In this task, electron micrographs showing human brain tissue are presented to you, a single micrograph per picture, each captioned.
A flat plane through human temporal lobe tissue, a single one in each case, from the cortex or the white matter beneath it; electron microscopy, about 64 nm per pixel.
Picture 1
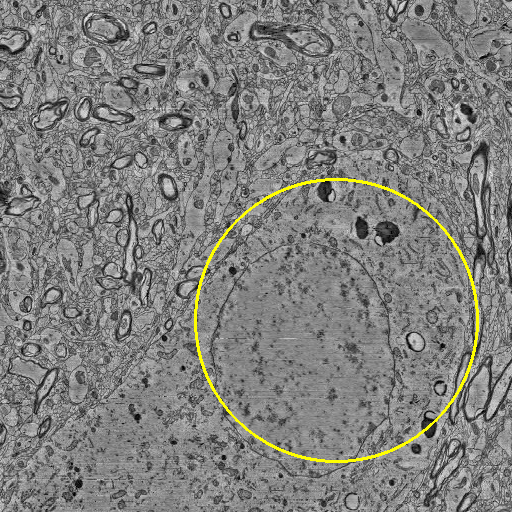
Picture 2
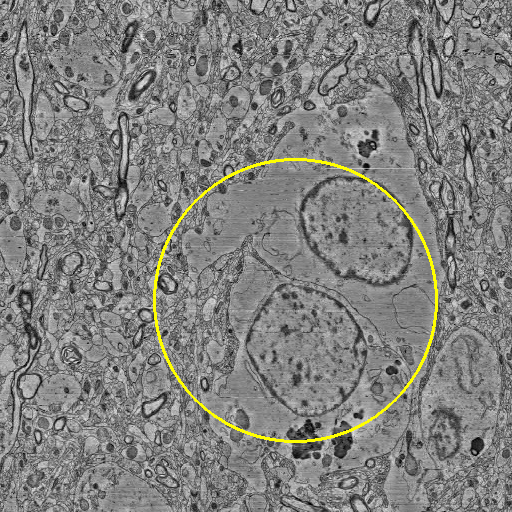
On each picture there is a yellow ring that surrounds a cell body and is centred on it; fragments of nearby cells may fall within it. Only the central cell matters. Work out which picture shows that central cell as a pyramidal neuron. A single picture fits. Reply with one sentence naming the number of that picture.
Of all the pictures, number 1 has the right cell in the centre of its ring.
